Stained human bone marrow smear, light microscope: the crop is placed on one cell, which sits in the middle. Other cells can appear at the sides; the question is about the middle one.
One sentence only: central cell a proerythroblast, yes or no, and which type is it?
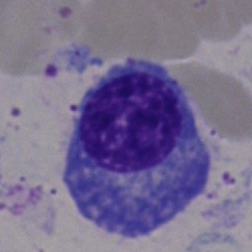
No, the one in the center is not a proerythroblast; it is a plasma cell.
